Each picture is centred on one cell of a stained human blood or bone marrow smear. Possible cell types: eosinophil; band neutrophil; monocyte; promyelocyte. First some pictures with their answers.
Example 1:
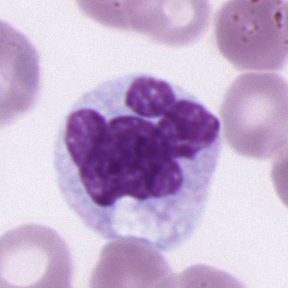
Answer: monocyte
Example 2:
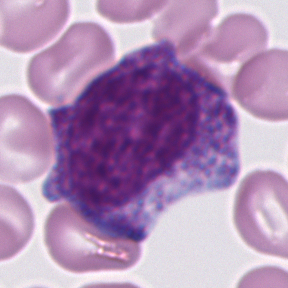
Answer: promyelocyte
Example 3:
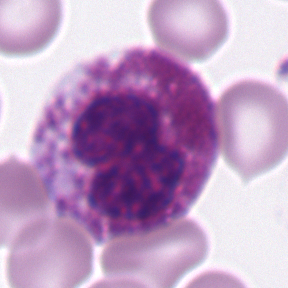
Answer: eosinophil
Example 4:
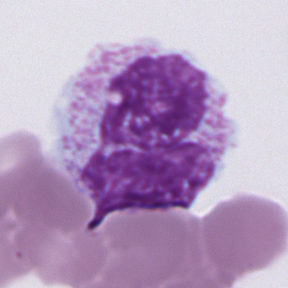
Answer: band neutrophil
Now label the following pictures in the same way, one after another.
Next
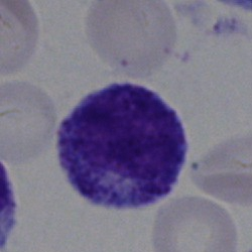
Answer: promyelocyte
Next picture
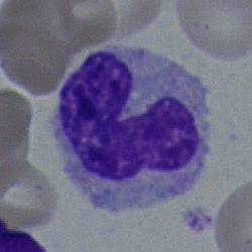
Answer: monocyte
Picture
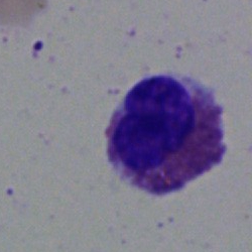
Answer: eosinophil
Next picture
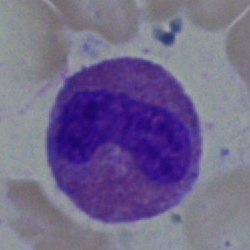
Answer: eosinophil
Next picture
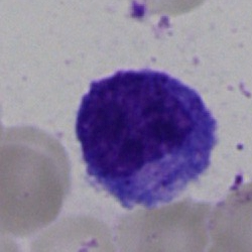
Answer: promyelocyte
